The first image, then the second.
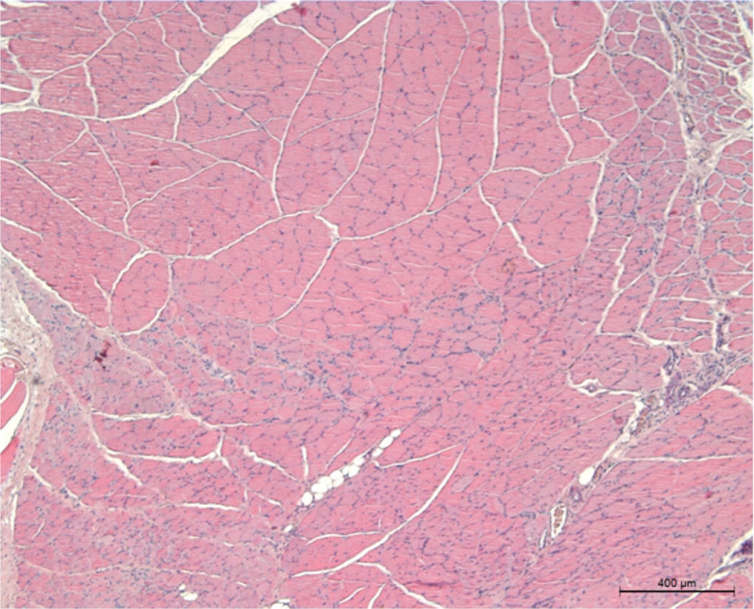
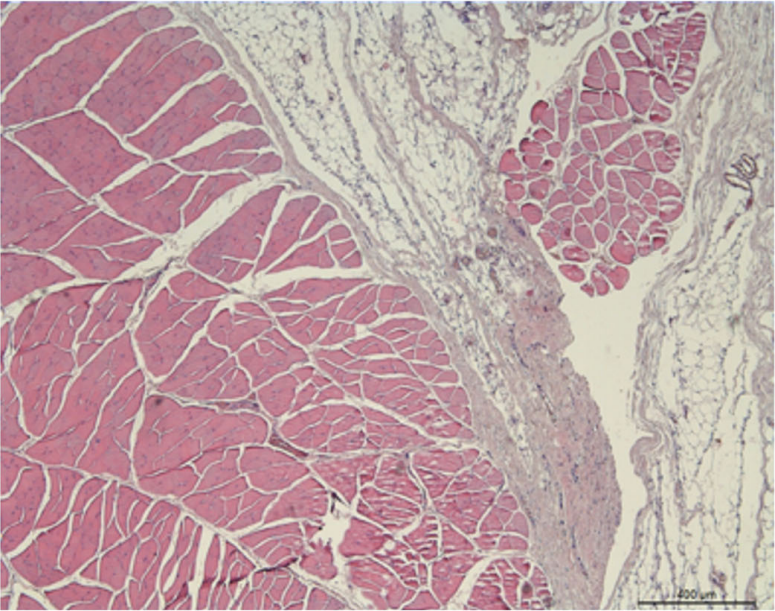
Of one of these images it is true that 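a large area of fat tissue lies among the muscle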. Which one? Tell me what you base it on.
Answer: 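The second image. First image: muscle fills almost the whole field with only a few small clear round vacuoles. Second image: a broad pale band of clear, net-like vacuolated tissue runs between the muscle bundles.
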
